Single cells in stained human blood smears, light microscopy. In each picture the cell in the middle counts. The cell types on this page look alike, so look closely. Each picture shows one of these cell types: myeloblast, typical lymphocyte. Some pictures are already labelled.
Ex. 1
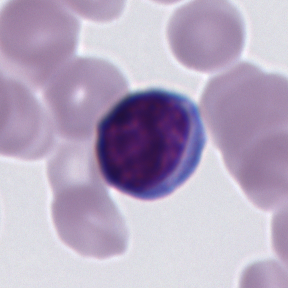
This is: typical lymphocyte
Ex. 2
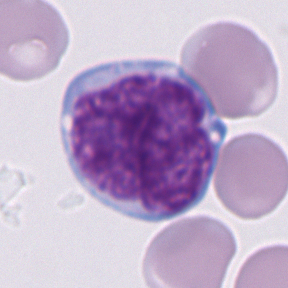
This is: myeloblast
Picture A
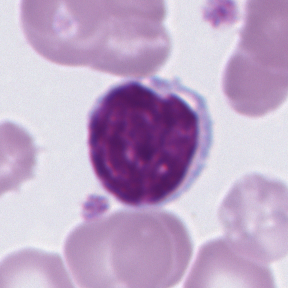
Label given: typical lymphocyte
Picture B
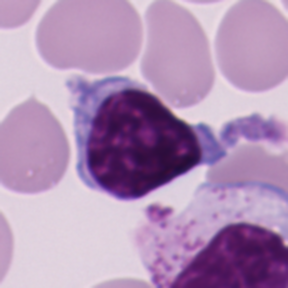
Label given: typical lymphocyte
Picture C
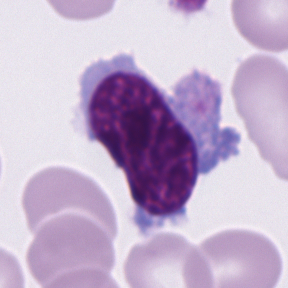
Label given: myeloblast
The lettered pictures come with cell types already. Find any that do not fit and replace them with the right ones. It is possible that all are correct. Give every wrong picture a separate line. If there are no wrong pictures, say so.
C is labelled myeloblast; correct label: typical lymphocyte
